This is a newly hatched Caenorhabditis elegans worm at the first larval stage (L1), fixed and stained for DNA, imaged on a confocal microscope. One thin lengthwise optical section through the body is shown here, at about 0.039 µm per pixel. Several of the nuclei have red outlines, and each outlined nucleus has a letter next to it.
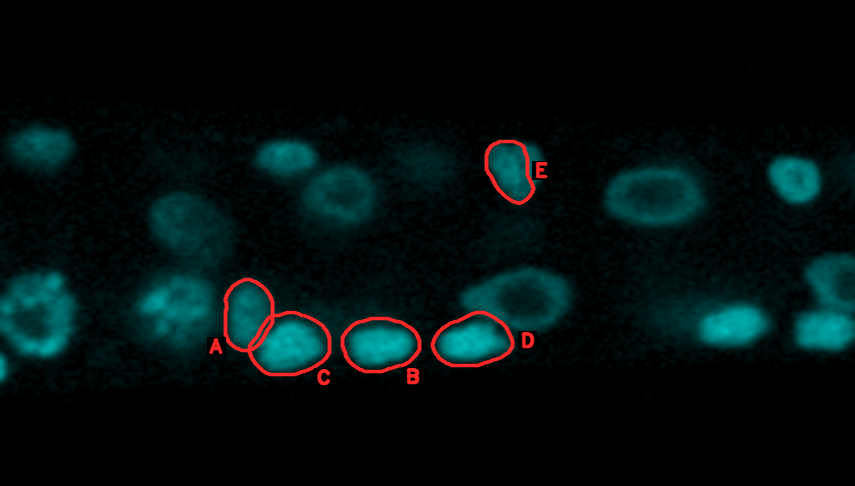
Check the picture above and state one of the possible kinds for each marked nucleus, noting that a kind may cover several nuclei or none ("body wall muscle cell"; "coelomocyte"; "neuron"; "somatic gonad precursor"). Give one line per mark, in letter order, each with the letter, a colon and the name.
A: somatic gonad precursor
B: neuron
C: neuron
D: neuron
E: body wall muscle cell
